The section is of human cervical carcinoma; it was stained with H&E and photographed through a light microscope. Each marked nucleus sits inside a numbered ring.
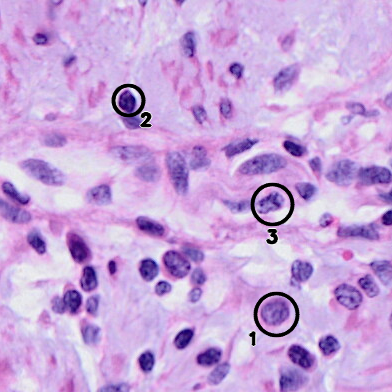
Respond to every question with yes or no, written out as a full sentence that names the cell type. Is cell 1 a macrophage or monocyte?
Yes, of the numbered cells, number 1 is a macrophage or monocyte.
